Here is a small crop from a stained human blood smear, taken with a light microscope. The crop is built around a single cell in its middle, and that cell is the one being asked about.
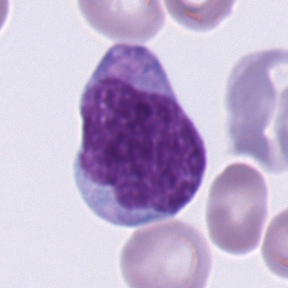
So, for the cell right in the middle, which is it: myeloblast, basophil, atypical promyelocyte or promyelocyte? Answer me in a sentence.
The cell sitting right in the middle is an atypical promyelocyte.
